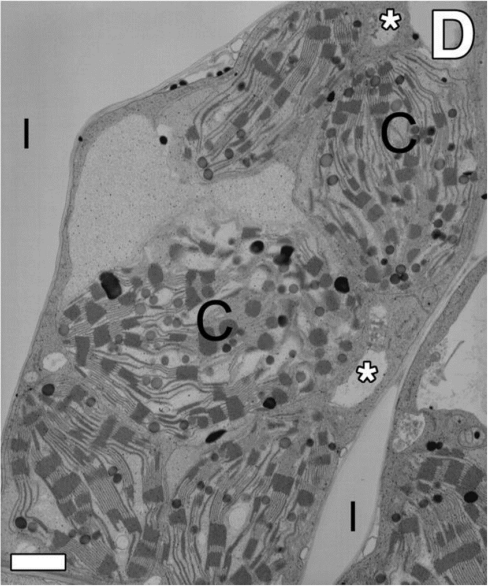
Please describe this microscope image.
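Leaf mesophyll cells seen by transmission electron microscopy, with swollen chloroplasts crowding the cytoplasm. Within the chloroplasts the grana appear as dark, separate blocks spread apart by pale gaps, with irregular, wavy thylakoids and small clear vesicles between them; dark round droplets are scattered throughout. Small pale cytoplasmic vacuoles lie beside the chloroplasts. Broad pale intercellular spaces lie between the cells, bordered by thin cell walls.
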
